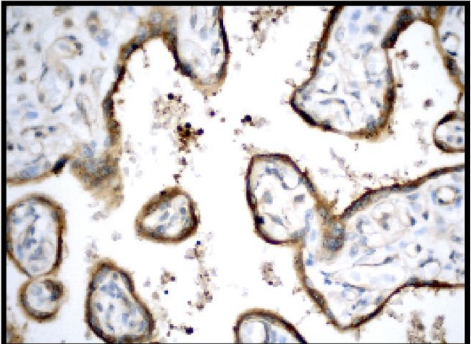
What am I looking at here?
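These are placental villi cut across, with the trophoblast covering each villus standing out as a continuous dark brown band along the outer surface. Beneath this band, the villous stroma is loosely built and only faintly stained, with scattered pale blue nuclei and small vessel profiles. The villi vary in size, from small rounded terminal villi to larger irregular ones, and are separated by the intervillous space, which holds a little scattered debris and a few cells.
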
